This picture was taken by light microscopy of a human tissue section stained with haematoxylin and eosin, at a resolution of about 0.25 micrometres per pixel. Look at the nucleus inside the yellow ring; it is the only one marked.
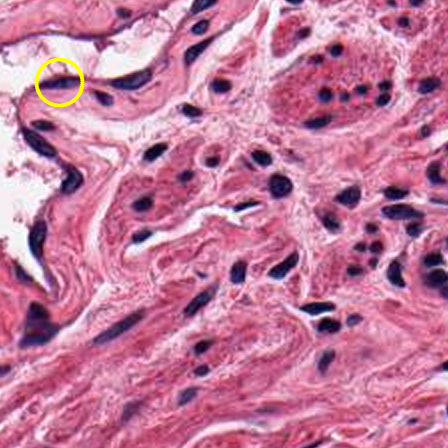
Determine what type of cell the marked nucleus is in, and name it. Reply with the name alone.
endothelial cell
